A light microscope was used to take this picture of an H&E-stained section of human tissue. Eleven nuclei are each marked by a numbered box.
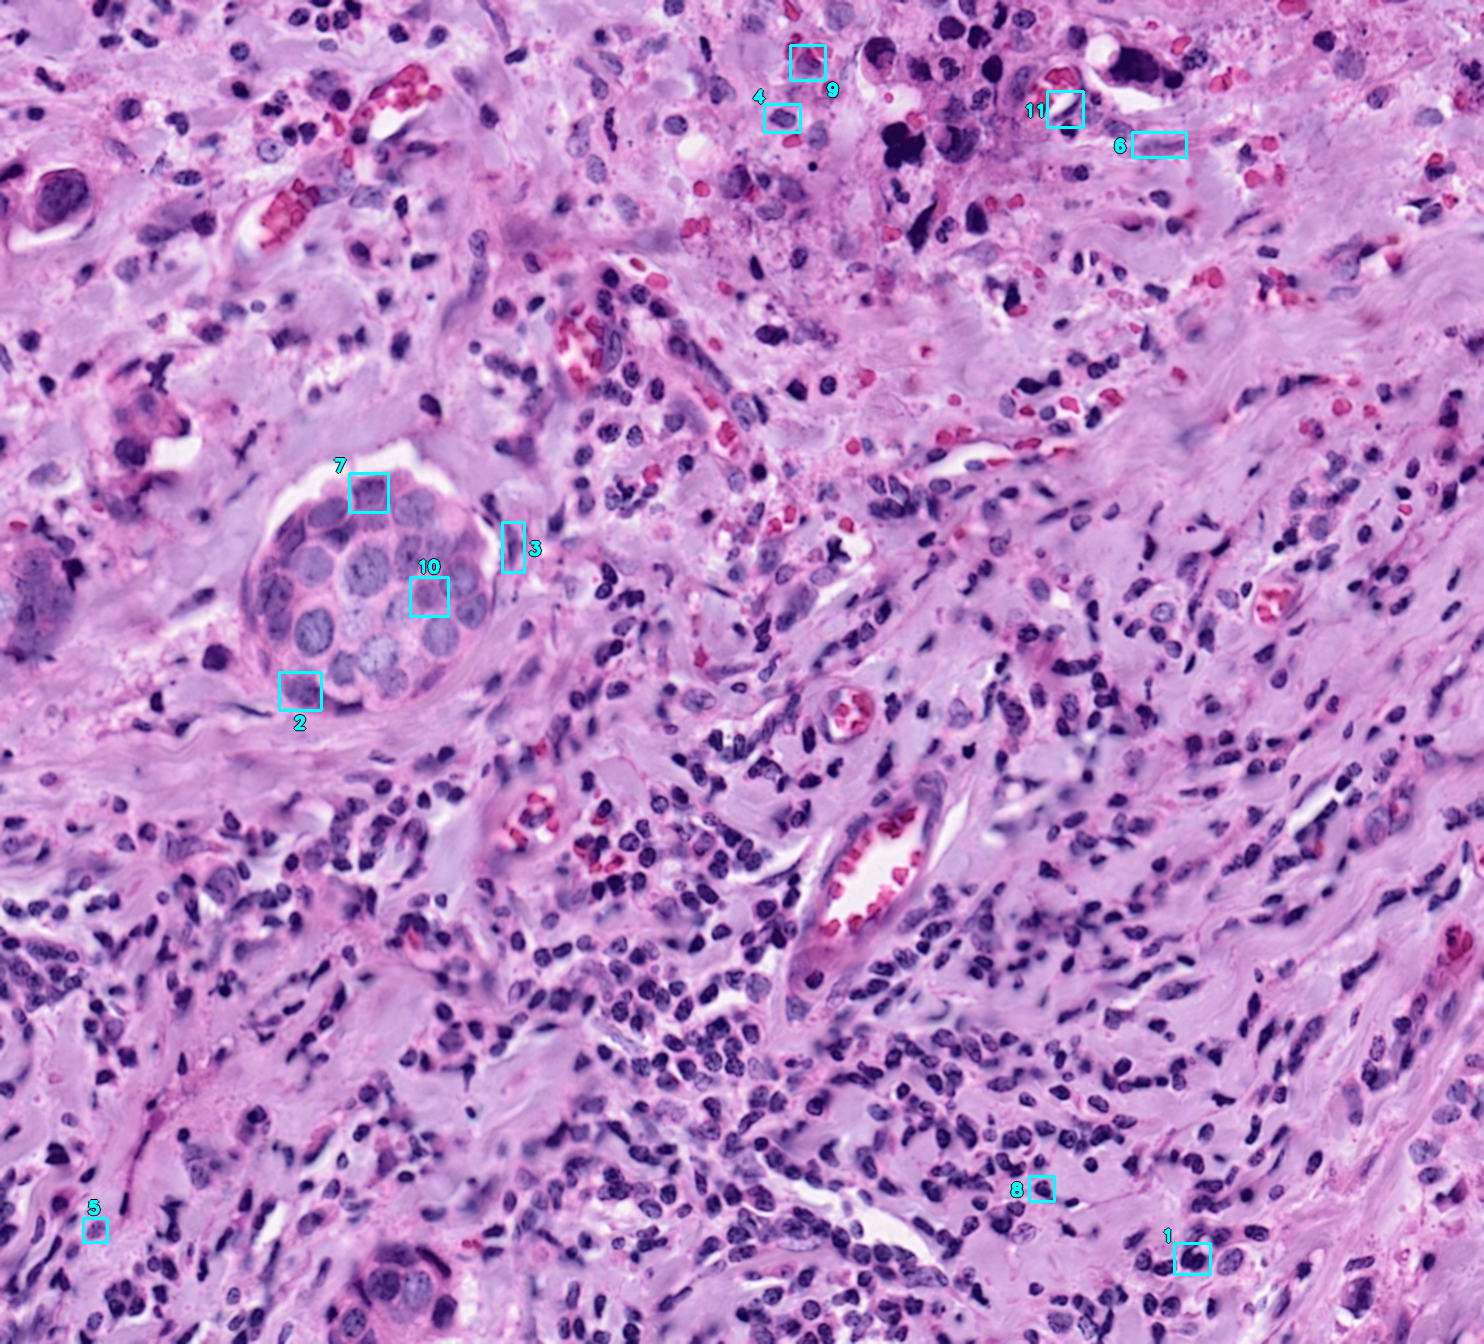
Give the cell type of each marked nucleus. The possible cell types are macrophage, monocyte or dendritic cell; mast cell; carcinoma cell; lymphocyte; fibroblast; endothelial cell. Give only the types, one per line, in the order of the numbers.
lymphocyte
carcinoma cell
endothelial cell
mast cell
mast cell
fibroblast
carcinoma cell
lymphocyte
endothelial cell
carcinoma cell
endothelial cell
